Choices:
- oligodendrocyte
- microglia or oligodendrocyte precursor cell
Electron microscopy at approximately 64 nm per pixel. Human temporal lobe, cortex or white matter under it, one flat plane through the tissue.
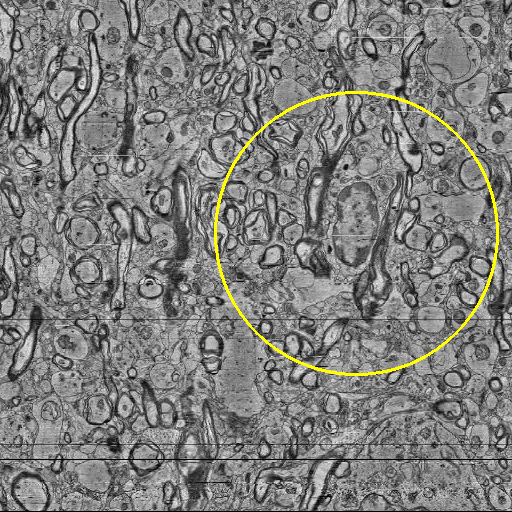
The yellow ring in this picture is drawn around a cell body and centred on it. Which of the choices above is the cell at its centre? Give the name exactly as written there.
microglia or oligodendrocyte precursor cell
